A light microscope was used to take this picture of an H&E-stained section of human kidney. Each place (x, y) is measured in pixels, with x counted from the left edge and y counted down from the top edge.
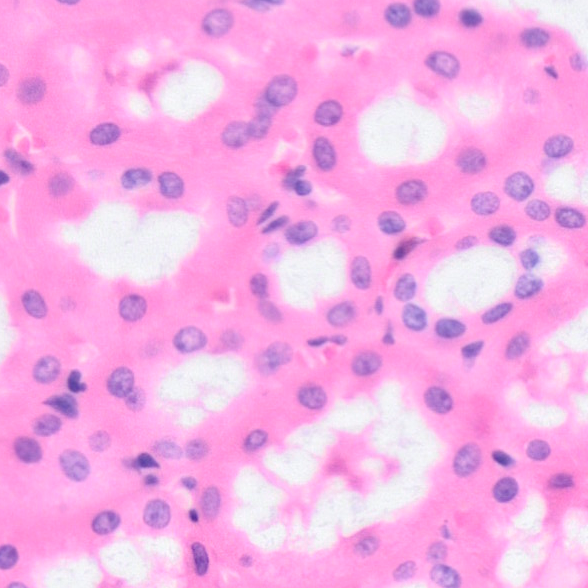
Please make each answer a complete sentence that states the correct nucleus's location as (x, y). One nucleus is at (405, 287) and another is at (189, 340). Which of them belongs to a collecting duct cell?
The nucleus located at (405, 287) is the one held within a collecting duct cell.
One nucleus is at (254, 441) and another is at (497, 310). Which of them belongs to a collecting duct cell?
Among the two, the nucleus at (497, 310) is the nucleus of a collecting duct cell.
